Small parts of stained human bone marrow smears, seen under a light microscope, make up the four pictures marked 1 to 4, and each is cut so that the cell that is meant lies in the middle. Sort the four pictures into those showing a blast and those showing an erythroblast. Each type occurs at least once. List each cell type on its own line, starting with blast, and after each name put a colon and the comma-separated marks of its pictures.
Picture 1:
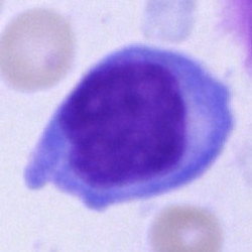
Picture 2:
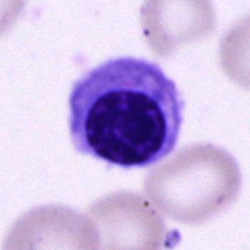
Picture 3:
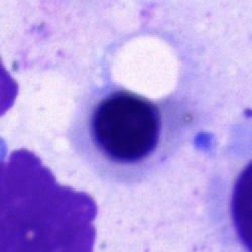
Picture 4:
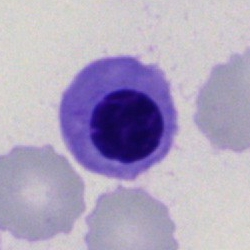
blast: 1
erythroblast: 2, 3, 4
